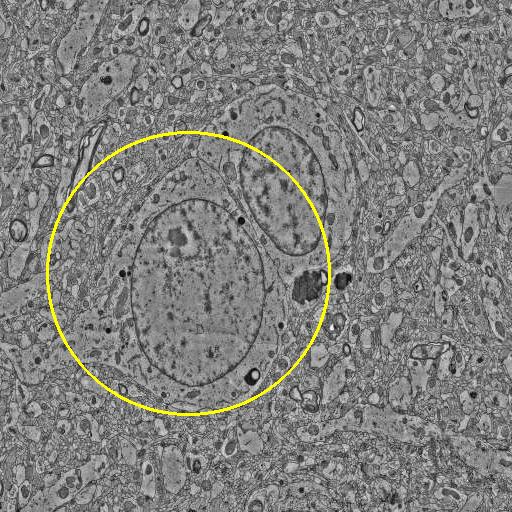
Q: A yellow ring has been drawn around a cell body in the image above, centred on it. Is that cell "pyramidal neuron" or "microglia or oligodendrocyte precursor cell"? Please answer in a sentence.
The ring surrounds the cell body of a pyramidal neuron.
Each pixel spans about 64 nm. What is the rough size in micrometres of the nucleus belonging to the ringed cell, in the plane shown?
Roughly 12 by 9 micrometres in this plane, for the nucleus of the ringed cell.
